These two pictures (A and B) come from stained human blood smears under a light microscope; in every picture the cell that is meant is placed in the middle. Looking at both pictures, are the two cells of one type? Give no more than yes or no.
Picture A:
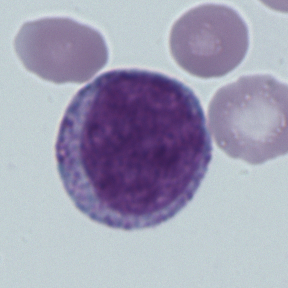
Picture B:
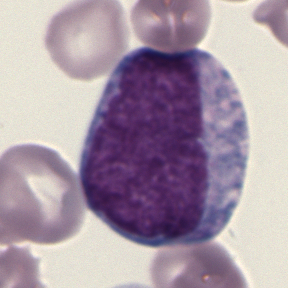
yes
